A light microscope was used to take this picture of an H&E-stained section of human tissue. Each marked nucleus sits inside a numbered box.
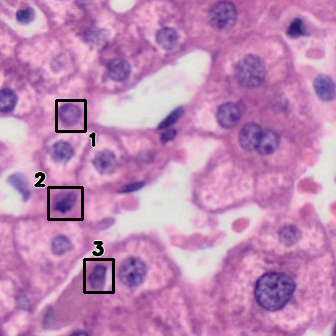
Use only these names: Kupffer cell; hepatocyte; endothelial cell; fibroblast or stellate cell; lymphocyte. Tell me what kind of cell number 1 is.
hepatocyte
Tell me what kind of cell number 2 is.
fibroblast or stellate cell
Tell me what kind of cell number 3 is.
Kupffer cell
